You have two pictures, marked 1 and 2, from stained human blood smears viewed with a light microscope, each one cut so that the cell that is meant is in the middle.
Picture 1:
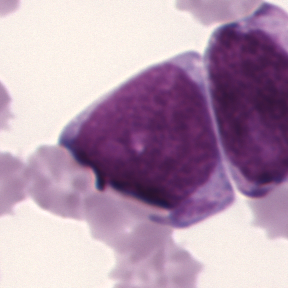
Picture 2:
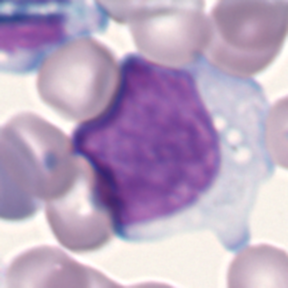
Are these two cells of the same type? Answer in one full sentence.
Yes; the cells in both pictures are myeloblasts.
